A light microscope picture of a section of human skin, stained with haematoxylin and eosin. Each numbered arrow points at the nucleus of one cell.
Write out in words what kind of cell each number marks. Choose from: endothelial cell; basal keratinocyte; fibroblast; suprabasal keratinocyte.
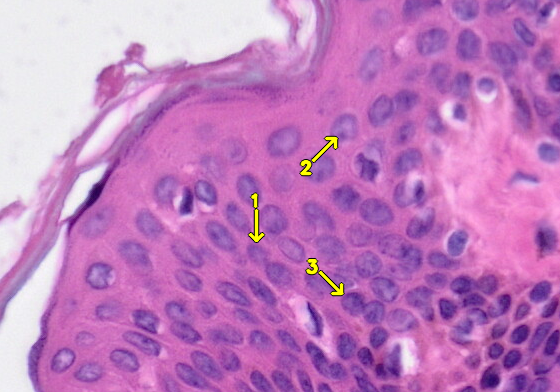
Cells 1 and 2 are suprabasal keratinocytes. Cell 3 is a basal keratinocyte.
